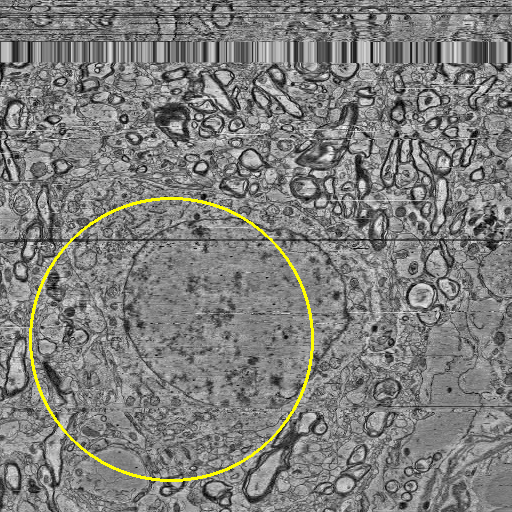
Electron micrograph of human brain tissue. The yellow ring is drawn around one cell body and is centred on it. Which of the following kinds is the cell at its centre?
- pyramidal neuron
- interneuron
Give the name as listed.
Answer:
interneuron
